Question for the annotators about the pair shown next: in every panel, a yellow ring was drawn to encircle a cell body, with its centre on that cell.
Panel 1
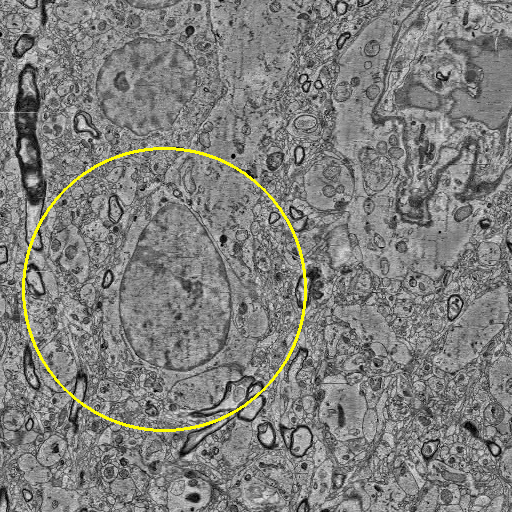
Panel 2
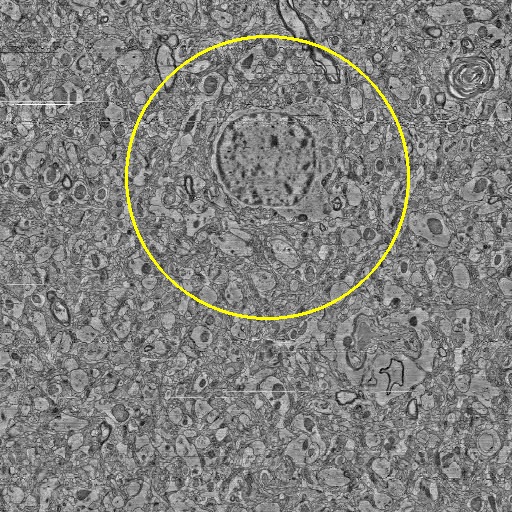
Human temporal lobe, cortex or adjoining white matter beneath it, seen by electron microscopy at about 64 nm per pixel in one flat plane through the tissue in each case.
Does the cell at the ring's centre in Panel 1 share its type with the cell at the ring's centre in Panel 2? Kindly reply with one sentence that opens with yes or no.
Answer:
Yes, in Panels 1 and 2 the cells at the ring centres belong to a single type.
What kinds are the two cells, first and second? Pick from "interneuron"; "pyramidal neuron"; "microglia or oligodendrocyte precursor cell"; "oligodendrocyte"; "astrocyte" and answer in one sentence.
Each of the two rings is centred on a microglial cell or oligodendrocyte precursor cell.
